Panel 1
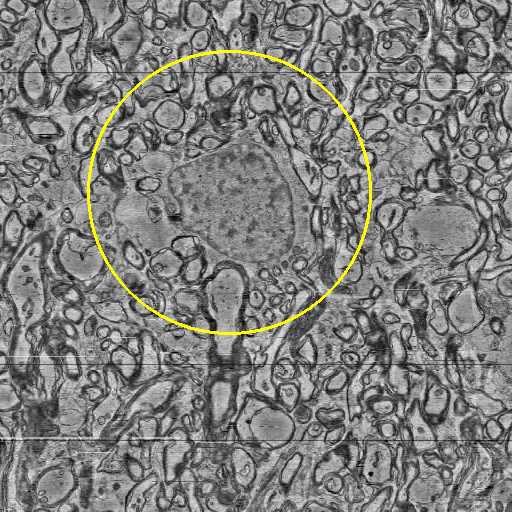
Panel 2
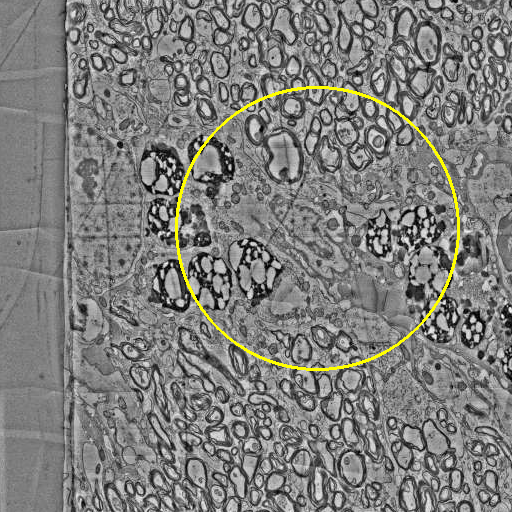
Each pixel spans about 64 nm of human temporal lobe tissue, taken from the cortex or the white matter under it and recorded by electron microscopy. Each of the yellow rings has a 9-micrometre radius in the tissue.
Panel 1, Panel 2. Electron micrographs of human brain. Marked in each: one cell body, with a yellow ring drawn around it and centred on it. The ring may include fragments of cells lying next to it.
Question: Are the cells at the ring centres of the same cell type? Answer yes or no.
no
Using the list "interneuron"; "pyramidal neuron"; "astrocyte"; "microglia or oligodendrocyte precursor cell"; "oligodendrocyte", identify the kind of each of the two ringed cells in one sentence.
The first is an oligodendrocyte and the second is an astrocyte.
